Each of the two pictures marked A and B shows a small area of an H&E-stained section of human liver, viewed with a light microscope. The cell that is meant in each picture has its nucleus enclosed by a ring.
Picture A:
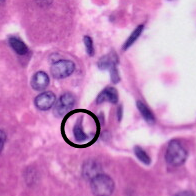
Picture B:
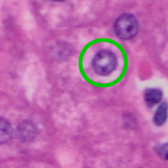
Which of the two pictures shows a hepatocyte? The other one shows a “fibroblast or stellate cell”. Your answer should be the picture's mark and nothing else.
B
